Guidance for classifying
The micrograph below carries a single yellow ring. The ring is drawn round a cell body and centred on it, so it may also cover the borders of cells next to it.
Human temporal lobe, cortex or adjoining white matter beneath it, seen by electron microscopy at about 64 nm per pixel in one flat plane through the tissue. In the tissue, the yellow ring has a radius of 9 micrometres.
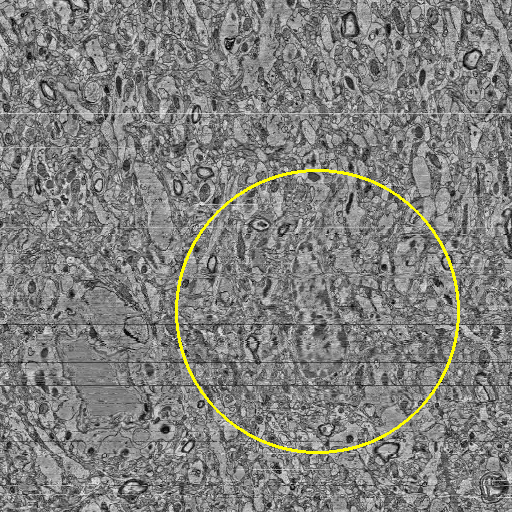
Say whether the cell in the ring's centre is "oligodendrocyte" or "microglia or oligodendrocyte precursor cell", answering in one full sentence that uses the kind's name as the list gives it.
Within the yellow ring, a microglial cell or oligodendrocyte precursor cell is the cell whose body sits at the centre.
